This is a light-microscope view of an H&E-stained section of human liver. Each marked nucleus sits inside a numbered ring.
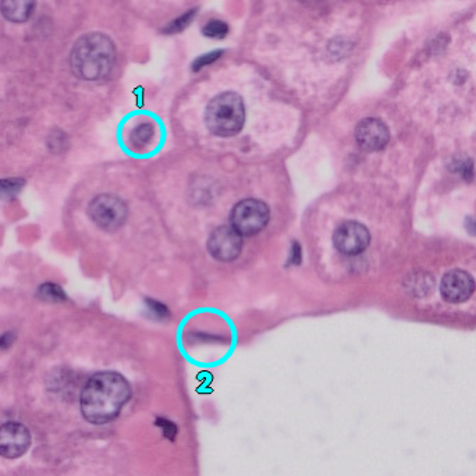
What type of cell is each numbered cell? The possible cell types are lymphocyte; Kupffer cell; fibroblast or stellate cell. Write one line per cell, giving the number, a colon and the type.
1: Kupffer cell
2: fibroblast or stellate cell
